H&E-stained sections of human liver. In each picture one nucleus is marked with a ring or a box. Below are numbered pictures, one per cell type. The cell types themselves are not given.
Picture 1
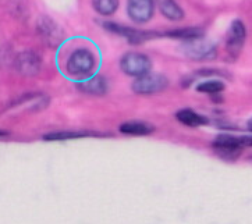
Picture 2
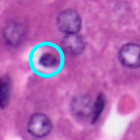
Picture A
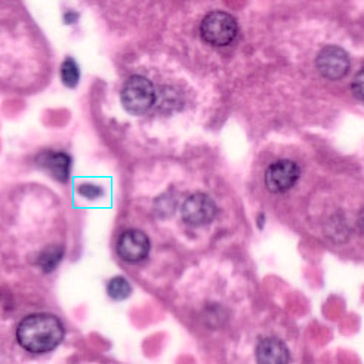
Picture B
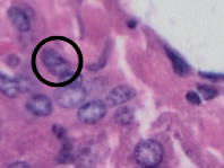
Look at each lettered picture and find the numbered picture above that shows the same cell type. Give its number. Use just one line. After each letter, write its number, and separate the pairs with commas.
A 2, B 1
